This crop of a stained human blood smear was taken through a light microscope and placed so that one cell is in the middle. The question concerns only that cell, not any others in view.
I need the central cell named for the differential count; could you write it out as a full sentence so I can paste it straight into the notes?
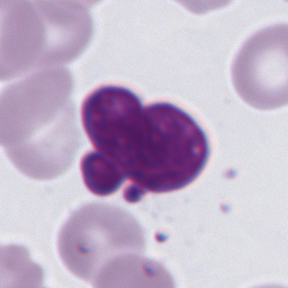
The target cell in the middle of the crop is a smudge cell.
